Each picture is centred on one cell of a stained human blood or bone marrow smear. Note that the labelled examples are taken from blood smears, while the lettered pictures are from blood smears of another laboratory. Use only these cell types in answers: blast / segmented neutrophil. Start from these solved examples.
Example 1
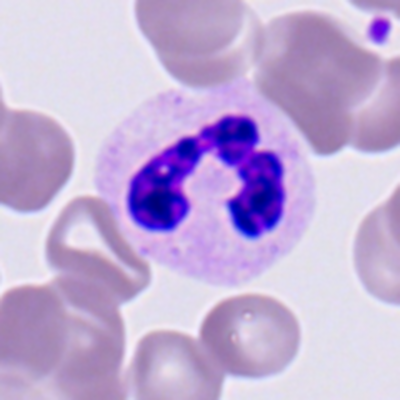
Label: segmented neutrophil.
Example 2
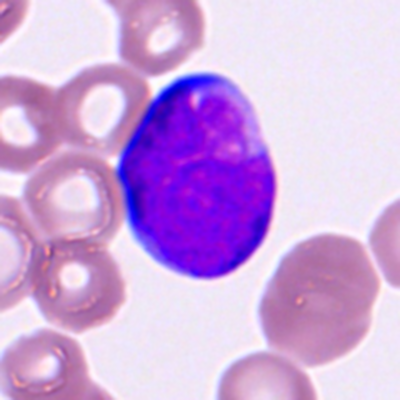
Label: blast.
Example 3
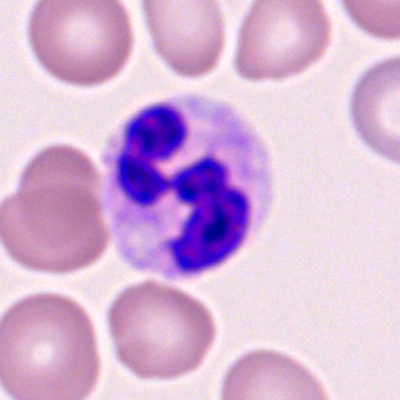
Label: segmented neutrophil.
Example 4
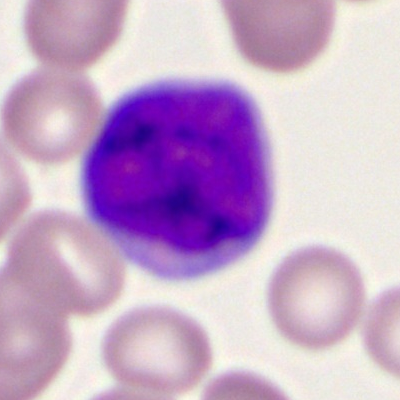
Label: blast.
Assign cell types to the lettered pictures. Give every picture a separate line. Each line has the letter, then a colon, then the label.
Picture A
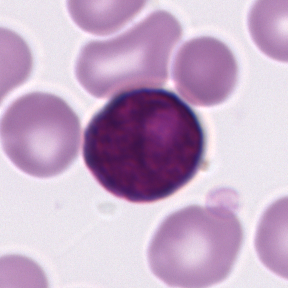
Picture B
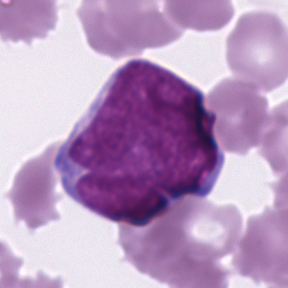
A: blast.
B: blast.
